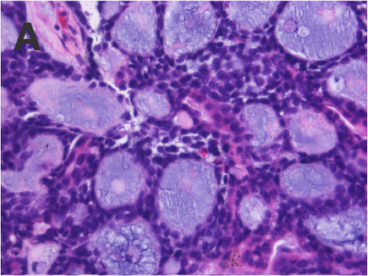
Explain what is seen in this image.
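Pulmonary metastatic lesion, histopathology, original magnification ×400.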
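The spaces are filled with pale bluish-purple mucinous material. Thin strands of pink stroma with a few red blood cells run between the nests.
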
